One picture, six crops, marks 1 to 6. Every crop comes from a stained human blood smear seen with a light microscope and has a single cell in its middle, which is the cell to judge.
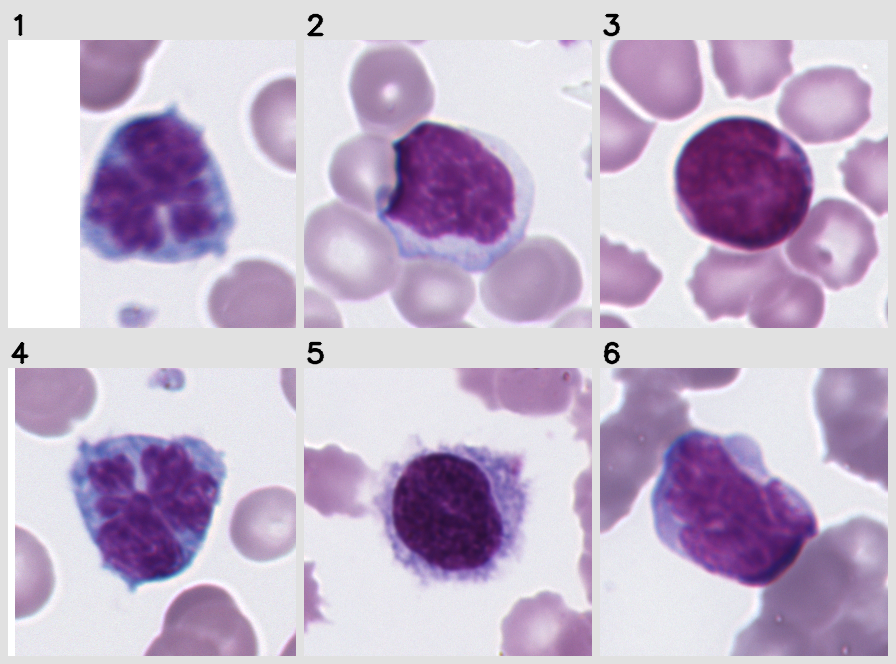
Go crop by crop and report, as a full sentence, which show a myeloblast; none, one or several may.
As for crops 1, 3, 4 and 6, they show myeloblasts.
